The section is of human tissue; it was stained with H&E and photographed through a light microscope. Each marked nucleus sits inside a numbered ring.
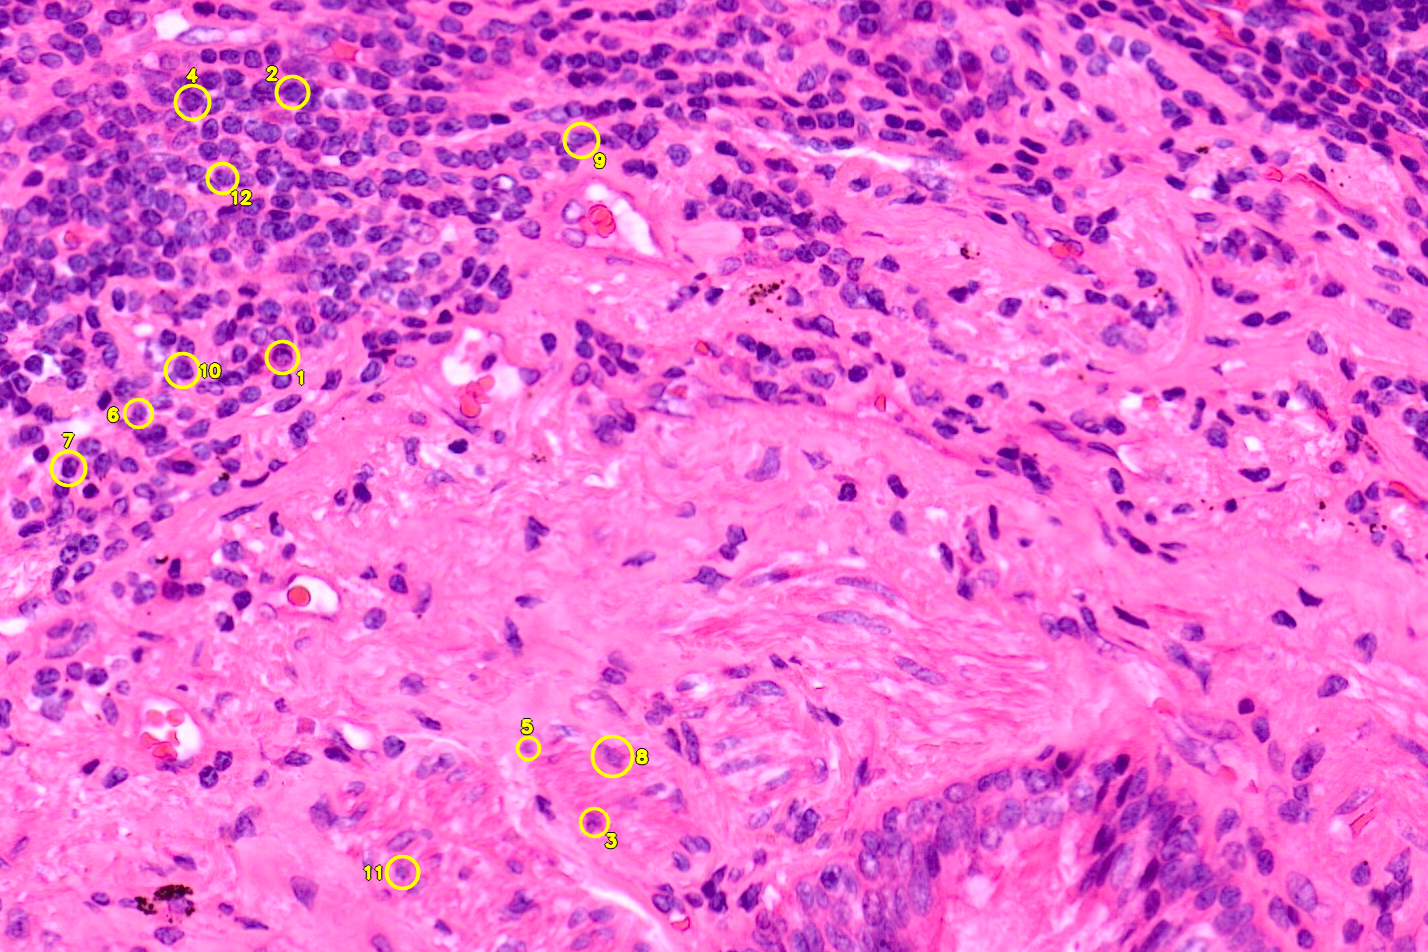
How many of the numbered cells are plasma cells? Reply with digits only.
1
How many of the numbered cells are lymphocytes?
7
